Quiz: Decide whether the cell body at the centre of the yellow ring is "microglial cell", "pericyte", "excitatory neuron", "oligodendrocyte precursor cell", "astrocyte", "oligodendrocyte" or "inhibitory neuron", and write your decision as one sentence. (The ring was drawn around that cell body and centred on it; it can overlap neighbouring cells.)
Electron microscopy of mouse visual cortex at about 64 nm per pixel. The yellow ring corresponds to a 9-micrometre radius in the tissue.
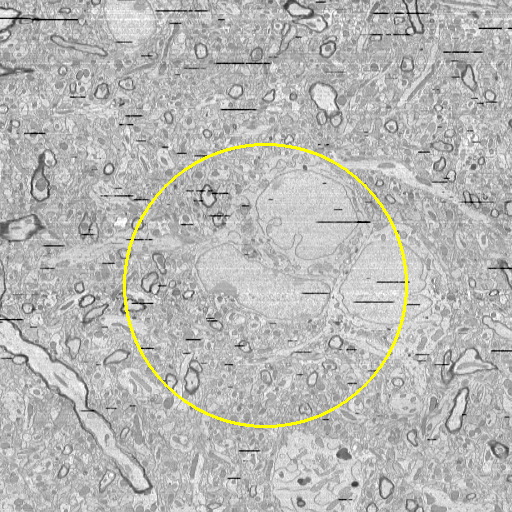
The cell the ring is centred on is an oligodendrocyte precursor cell.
